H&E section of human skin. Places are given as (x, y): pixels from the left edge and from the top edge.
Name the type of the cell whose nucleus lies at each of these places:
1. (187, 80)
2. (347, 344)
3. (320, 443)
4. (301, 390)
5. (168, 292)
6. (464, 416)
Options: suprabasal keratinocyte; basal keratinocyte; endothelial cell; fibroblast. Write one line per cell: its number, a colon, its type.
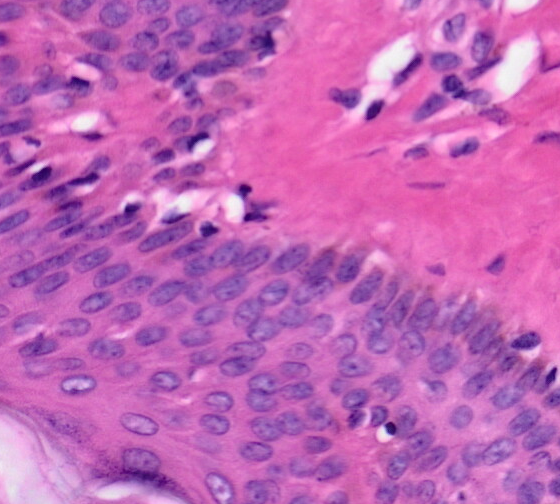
1: basal keratinocyte
2: suprabasal keratinocyte
3: basal keratinocyte
4: suprabasal keratinocyte
5: suprabasal keratinocyte
6: suprabasal keratinocyte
